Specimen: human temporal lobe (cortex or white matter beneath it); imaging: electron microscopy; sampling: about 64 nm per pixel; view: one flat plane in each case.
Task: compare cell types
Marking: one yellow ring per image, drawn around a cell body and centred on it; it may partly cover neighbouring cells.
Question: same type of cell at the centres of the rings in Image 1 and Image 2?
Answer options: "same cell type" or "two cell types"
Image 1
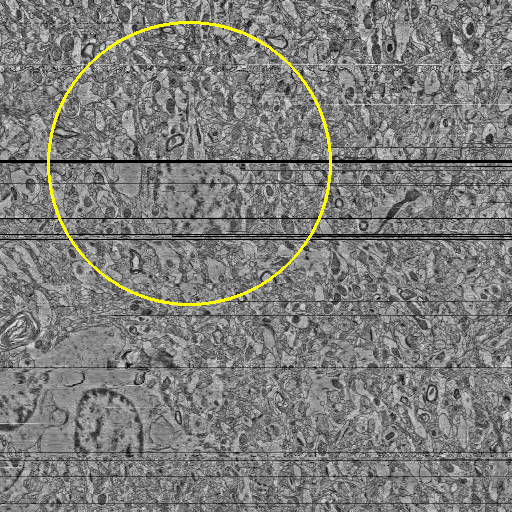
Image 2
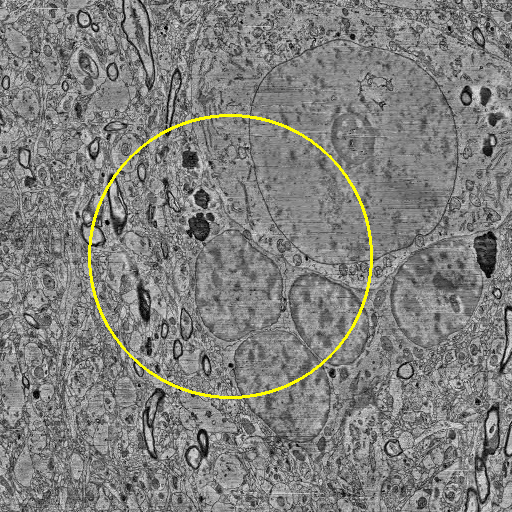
two cell types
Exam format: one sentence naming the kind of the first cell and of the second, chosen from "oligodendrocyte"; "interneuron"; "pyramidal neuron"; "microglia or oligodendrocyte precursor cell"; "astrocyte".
The first picture's cell is an interneuron, and the second picture's cell is an oligodendrocyte.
